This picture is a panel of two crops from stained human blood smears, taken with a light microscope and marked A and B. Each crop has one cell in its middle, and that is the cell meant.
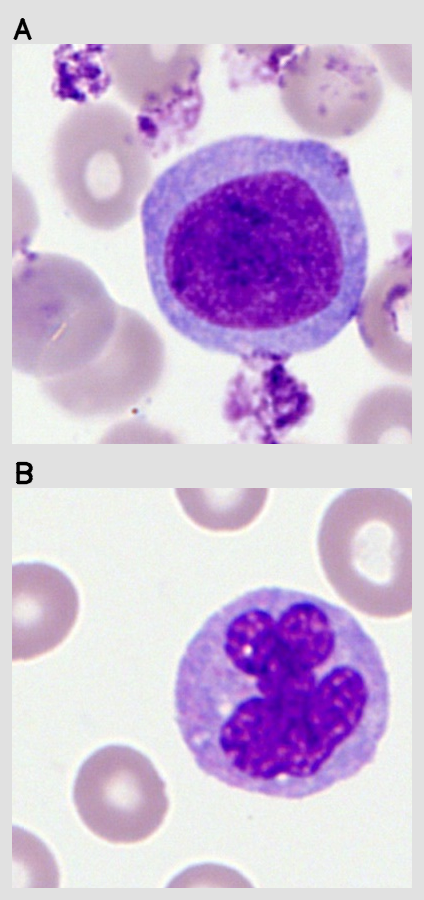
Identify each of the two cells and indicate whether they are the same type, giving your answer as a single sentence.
No, the cell centred in crop B is a monocyte; crop A centres on a myeloblast.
